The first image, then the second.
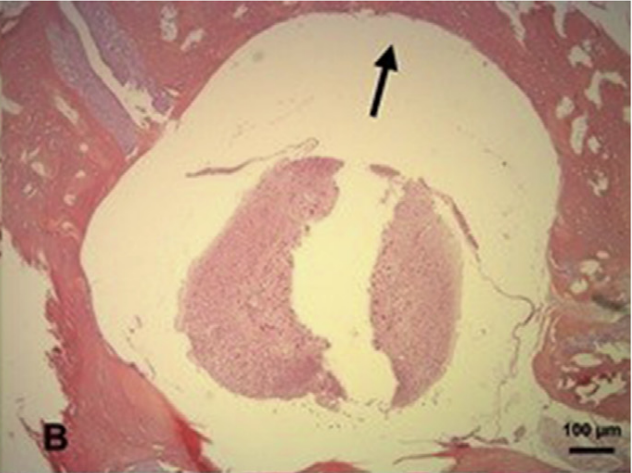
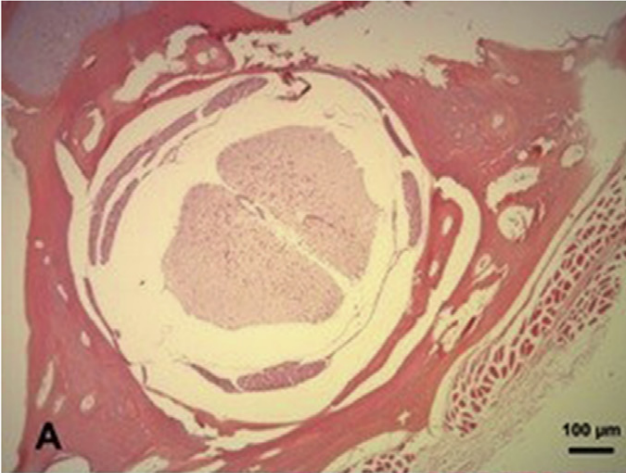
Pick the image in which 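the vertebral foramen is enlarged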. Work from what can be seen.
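The first image. First image: a wide empty canal with much clear space around the spinal cord. Second image: the canal is smaller, the cord and its membranes fill most of it.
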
